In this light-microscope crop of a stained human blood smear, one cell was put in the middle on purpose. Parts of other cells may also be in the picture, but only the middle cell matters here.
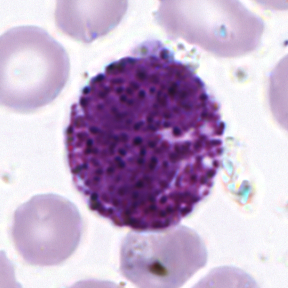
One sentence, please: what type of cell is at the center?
For this crop, the cell in the middle is a basophil.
